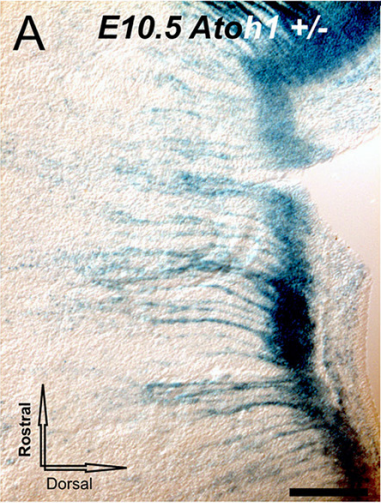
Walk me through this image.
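A dense dark-blue band runs along the edge of the tissue, and from it many thin blue streams fan out in parallel across the otherwise pale tissue. This is the rhombic lip with migratory cells leaving it in streams.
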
